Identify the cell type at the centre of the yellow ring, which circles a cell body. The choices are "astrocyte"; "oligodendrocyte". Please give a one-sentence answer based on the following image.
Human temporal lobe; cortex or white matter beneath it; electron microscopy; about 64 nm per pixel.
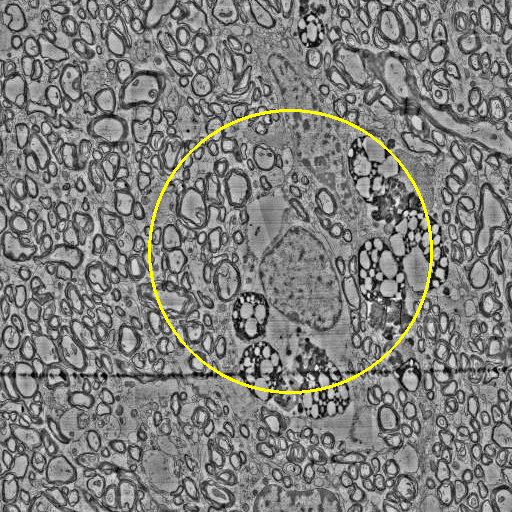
The cell marked by the ring is an astrocyte.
